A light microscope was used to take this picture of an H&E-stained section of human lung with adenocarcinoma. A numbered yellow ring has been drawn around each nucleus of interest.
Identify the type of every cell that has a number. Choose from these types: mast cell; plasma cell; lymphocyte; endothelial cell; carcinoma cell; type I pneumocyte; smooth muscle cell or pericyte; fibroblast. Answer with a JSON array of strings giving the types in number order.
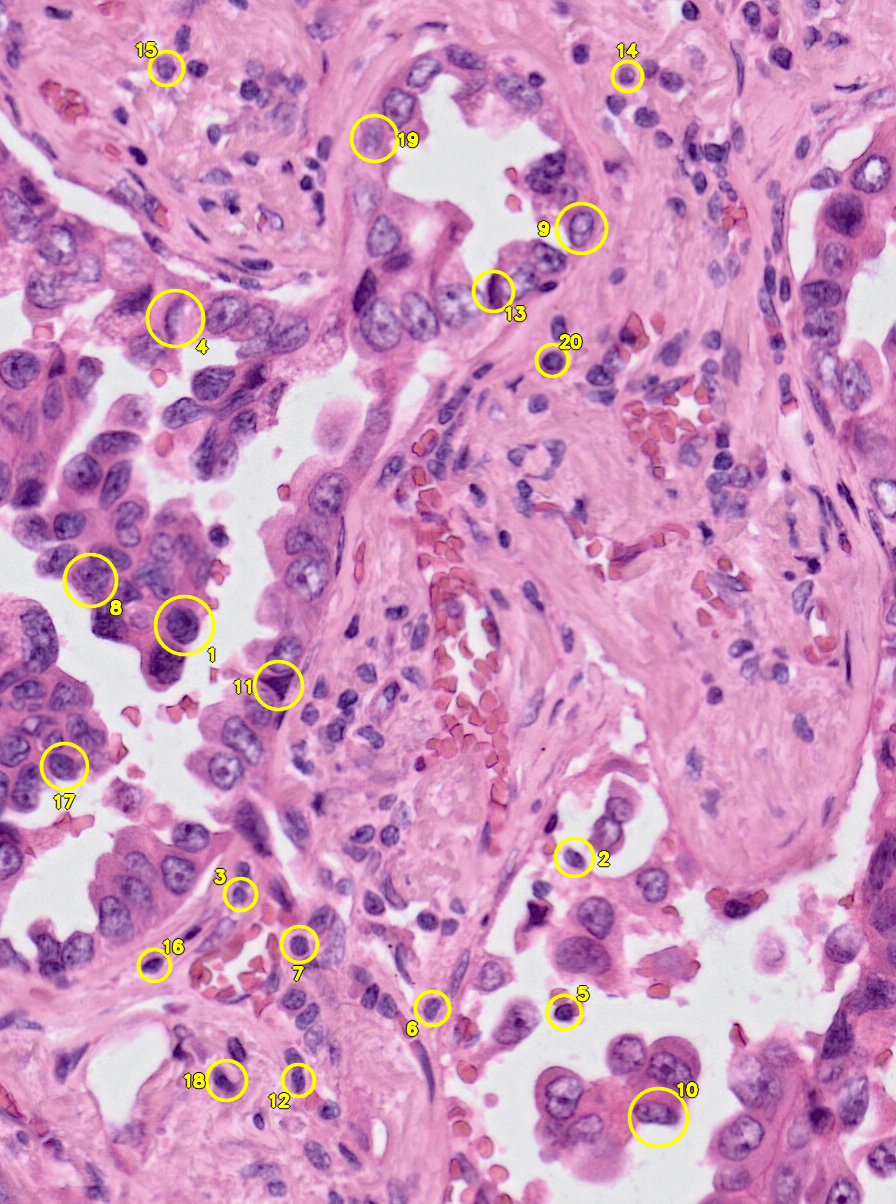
["carcinoma cell", "lymphocyte", "lymphocyte", "carcinoma cell", "lymphocyte", "lymphocyte", "lymphocyte", "carcinoma cell", "carcinoma cell", "carcinoma cell", "carcinoma cell", "lymphocyte", "carcinoma cell", "lymphocyte", "lymphocyte", "lymphocyte", "carcinoma cell", "plasma cell", "carcinoma cell", "plasma cell"]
